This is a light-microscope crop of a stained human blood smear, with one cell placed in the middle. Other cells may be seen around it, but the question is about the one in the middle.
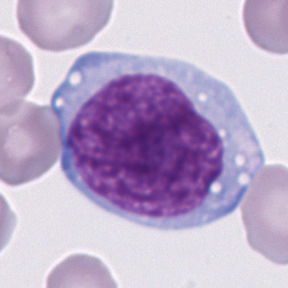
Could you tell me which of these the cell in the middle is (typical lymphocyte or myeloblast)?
myeloblast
